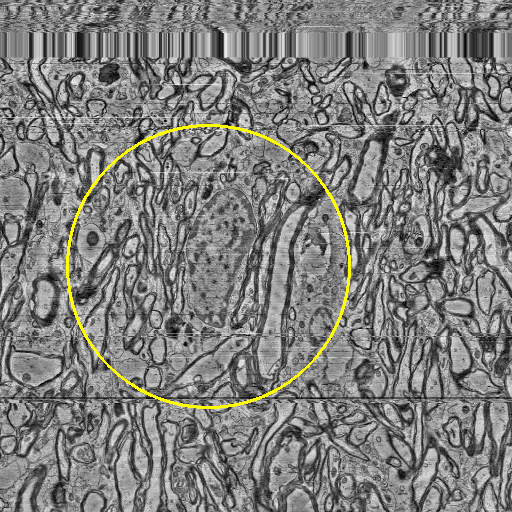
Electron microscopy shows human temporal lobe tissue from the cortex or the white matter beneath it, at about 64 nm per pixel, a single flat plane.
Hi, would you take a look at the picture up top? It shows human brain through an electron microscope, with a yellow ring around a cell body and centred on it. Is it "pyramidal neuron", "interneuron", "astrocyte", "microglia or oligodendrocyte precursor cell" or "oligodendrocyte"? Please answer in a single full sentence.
The best fit for the cell in the middle of the ring is a microglial cell or oligodendrocyte precursor cell, I reckon.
